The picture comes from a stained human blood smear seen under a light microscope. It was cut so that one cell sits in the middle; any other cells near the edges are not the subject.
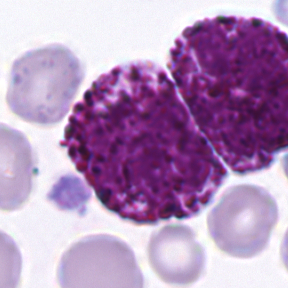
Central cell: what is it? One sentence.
The cell marked by its central position in the crop is a basophil.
